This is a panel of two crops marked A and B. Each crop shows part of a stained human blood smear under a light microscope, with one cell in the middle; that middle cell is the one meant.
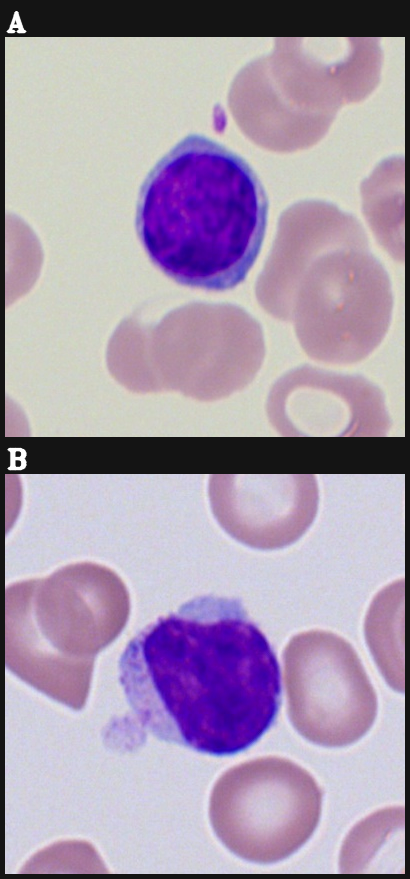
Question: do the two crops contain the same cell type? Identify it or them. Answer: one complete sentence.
Yes, the central cells in both crops are lymphocytes.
